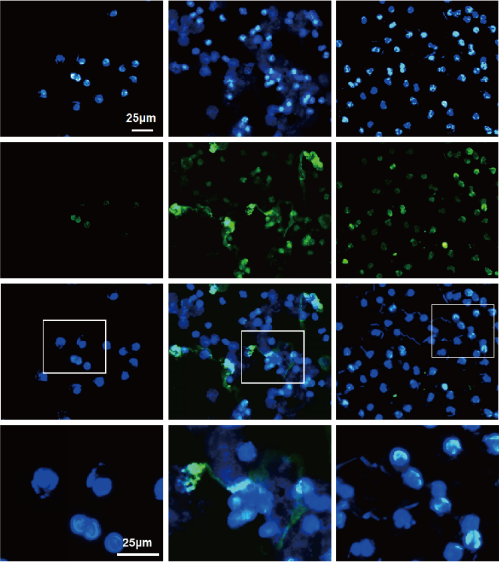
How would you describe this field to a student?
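In the left column the cells lie apart from one another, with compact nuclei and hardly any green. In the middle column the cells are crowded into clumps, blue material looks smeared and spread between them, and bright green patches and strands lie over and among these clumps, in keeping with extruded chromatin. In the right column the cells are again mostly separate with compact nuclei, and the green appears as small dots within single cells rather than as spread patches.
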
